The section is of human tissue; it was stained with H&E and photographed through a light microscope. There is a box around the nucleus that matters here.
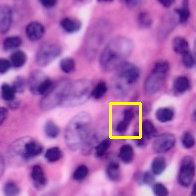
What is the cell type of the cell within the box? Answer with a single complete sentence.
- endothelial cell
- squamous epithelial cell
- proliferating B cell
The identity of the cell within the box is that of an endothelial cell.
